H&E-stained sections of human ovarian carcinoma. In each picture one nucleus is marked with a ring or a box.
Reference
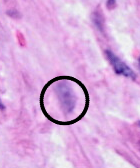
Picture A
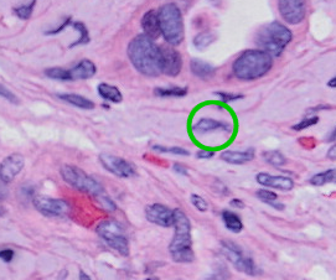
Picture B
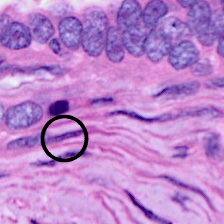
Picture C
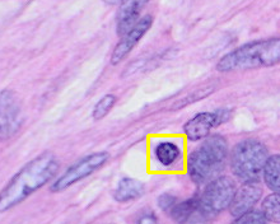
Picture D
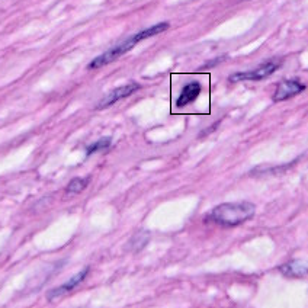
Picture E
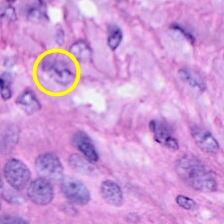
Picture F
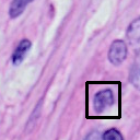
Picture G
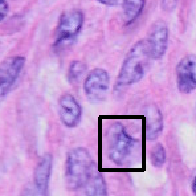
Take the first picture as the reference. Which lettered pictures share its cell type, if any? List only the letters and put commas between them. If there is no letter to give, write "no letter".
A, B, E, G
